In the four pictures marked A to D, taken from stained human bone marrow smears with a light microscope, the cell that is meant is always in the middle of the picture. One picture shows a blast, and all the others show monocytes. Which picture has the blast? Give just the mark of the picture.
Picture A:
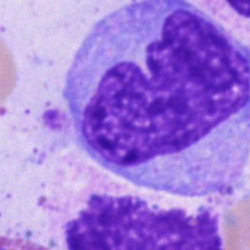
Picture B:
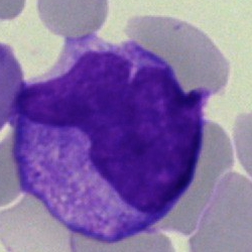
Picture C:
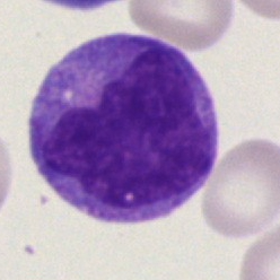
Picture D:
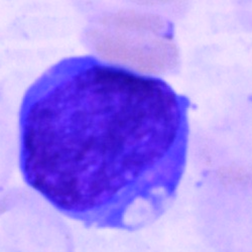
D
